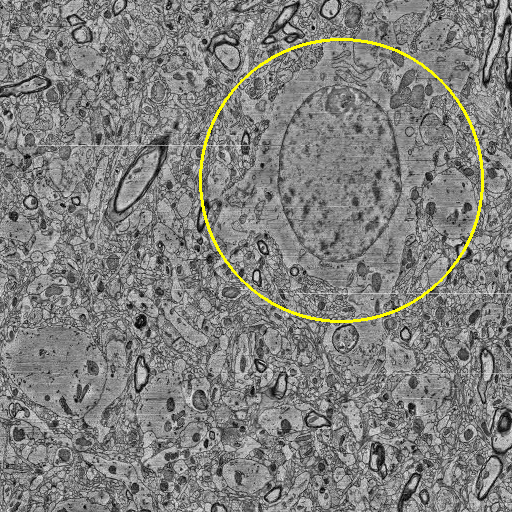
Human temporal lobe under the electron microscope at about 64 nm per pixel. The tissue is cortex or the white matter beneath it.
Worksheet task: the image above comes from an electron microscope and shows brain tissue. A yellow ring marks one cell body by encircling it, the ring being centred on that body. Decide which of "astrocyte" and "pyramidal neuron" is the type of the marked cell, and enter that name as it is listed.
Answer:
astrocyte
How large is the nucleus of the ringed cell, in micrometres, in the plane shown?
The nucleus is approximately 12 micrometers long by 8 micrometers wide in this plane.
